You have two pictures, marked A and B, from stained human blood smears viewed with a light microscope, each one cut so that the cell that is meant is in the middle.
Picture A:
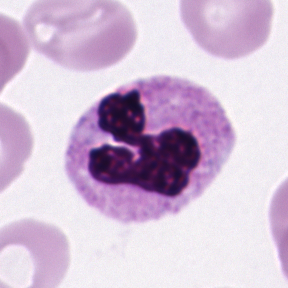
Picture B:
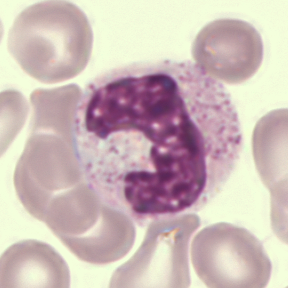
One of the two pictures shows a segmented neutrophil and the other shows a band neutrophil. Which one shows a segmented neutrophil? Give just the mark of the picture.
A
